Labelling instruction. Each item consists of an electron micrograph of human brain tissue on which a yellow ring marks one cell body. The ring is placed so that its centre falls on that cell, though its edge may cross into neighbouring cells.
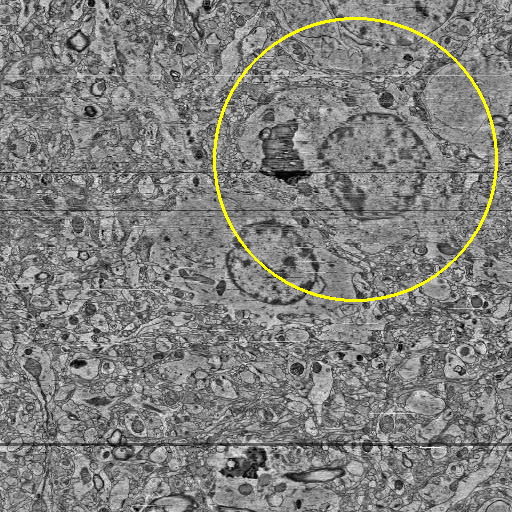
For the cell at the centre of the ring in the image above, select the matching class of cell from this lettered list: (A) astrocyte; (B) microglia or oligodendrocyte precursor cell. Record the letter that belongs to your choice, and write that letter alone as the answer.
A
